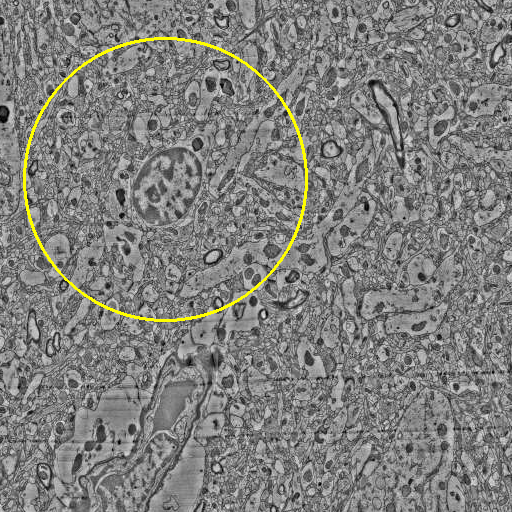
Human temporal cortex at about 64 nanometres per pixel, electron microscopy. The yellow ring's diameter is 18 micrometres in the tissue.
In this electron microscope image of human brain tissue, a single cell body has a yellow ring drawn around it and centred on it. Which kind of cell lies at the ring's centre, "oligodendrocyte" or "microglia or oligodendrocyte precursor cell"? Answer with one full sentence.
It is a microglial cell or oligodendrocyte precursor cell whose cell body lies at the centre of the yellow ring here.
